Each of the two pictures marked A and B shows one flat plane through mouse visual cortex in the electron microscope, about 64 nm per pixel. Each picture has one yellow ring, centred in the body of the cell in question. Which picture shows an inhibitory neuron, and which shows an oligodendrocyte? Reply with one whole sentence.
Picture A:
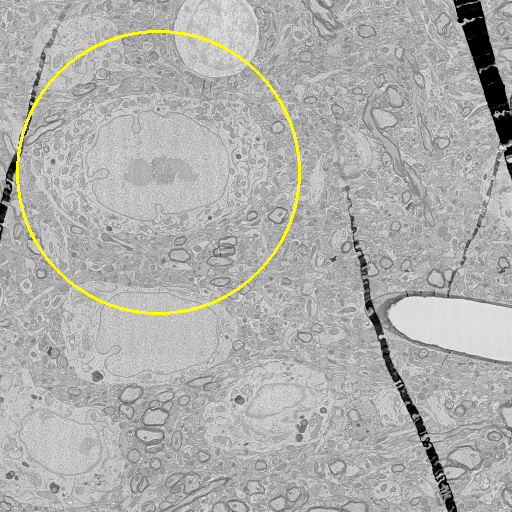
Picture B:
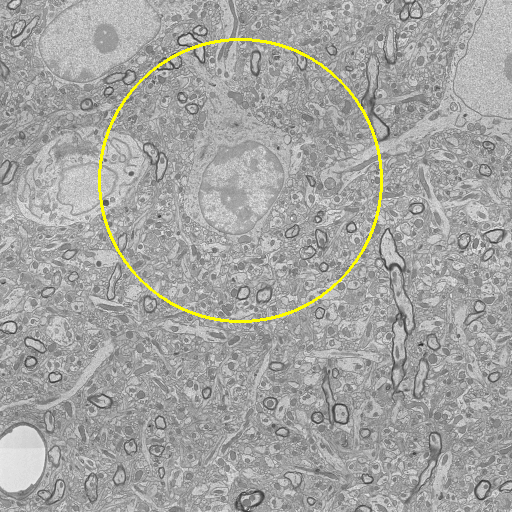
It is picture A that shows an inhibitory neuron, and picture B that shows an oligodendrocyte.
